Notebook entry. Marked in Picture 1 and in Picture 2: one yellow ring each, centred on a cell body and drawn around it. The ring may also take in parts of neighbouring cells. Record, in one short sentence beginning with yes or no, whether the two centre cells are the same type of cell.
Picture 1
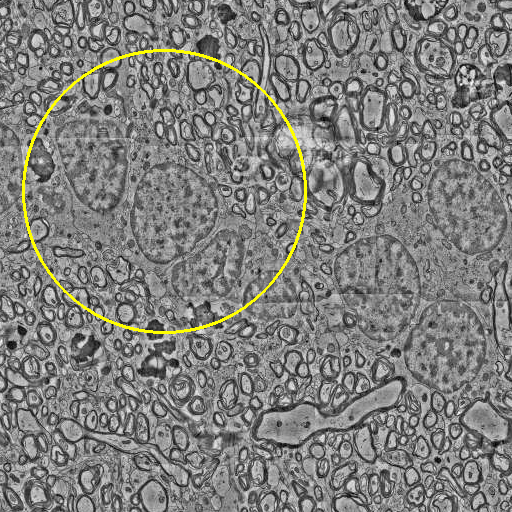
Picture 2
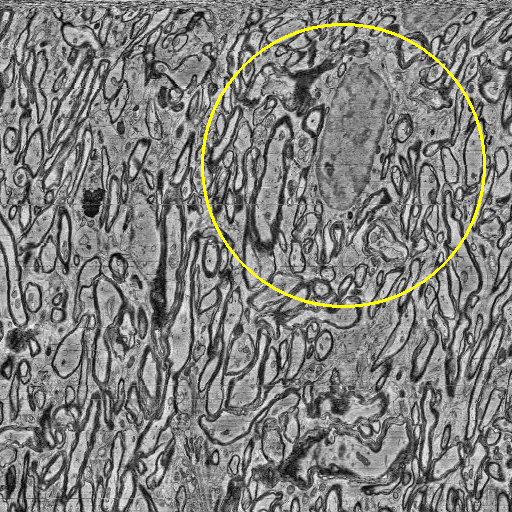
Yes, both are the same type of cell.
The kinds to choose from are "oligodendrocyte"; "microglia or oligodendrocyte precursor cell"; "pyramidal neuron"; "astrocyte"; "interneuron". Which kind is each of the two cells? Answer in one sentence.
Both the first and the second picture show an oligodendrocyte in the ring.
